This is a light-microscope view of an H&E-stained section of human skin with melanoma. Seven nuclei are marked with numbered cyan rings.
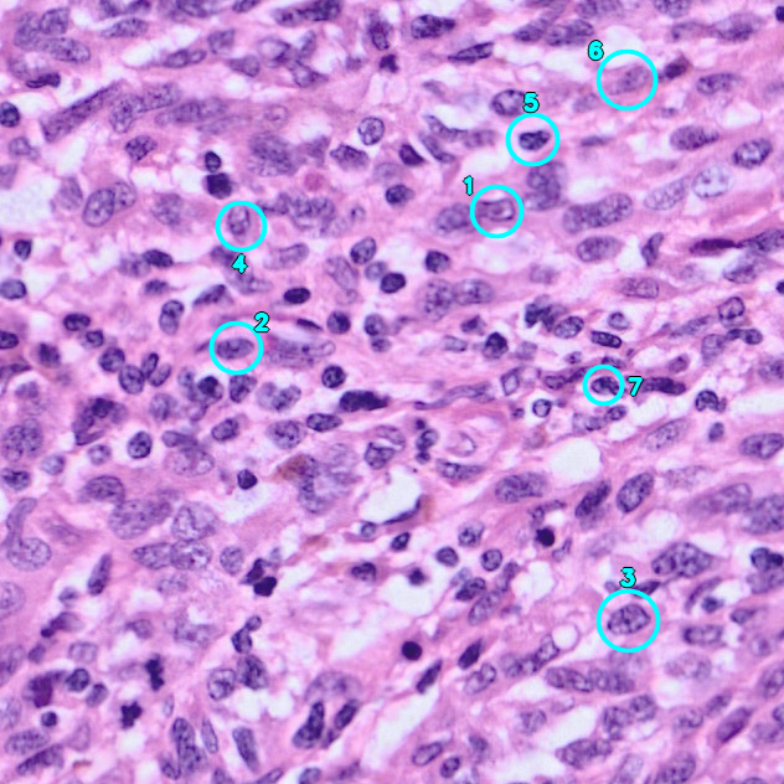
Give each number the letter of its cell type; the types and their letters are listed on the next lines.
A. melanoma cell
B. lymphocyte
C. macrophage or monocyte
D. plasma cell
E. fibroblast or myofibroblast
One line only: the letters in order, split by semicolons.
A; B; A; A; B; A; B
